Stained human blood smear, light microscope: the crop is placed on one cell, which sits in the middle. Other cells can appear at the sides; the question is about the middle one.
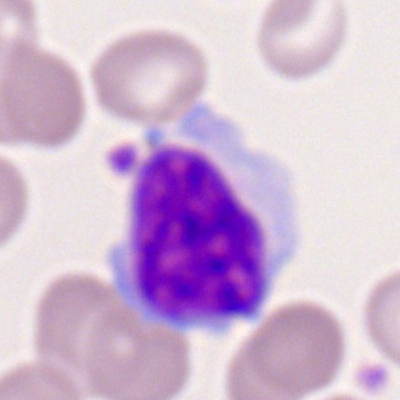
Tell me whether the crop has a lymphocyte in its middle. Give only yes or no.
yes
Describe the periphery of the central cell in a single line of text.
The edge of the cell is broken up by ragged stretches or by outward projections.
